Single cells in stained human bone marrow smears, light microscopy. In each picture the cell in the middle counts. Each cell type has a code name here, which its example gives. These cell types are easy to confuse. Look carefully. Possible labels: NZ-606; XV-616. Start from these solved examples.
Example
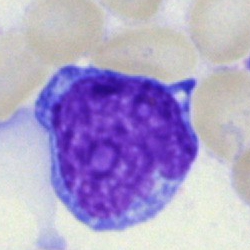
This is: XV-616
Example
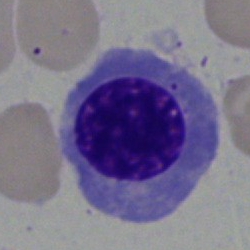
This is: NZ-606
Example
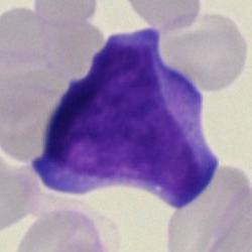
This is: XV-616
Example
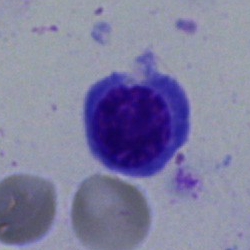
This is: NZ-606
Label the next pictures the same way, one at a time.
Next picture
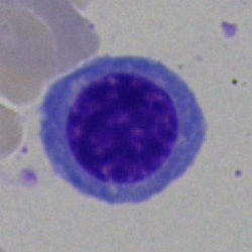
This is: NZ-606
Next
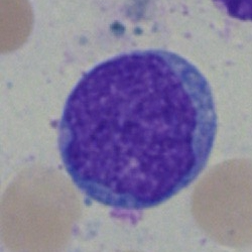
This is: XV-616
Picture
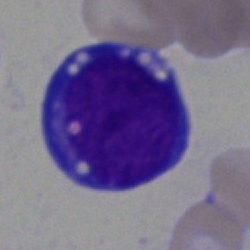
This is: XV-616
